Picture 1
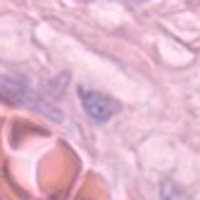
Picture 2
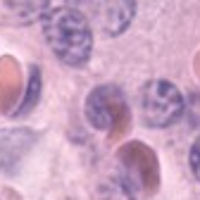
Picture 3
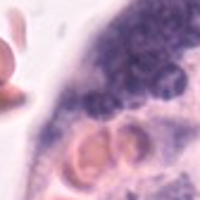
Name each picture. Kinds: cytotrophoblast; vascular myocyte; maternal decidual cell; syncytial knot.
Picture 1: vascular myocyte
Picture 2: cytotrophoblast
Picture 3: syncytial knot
